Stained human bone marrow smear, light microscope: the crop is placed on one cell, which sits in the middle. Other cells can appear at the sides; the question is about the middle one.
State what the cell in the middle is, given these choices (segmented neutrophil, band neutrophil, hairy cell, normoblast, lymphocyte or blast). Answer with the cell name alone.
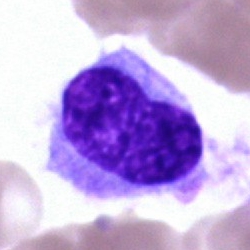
hairy cell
